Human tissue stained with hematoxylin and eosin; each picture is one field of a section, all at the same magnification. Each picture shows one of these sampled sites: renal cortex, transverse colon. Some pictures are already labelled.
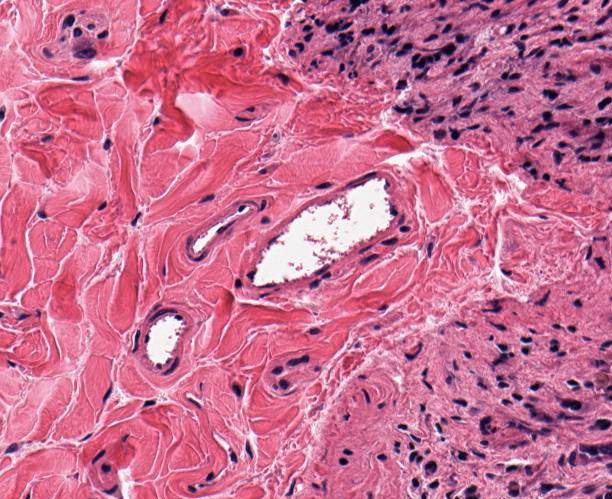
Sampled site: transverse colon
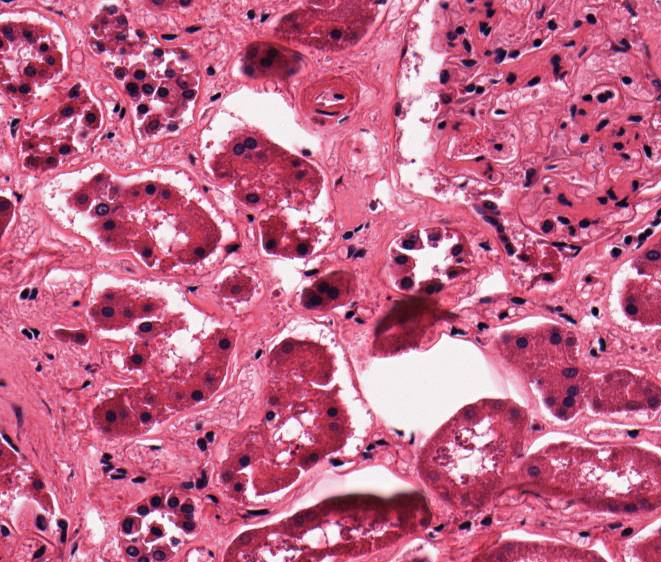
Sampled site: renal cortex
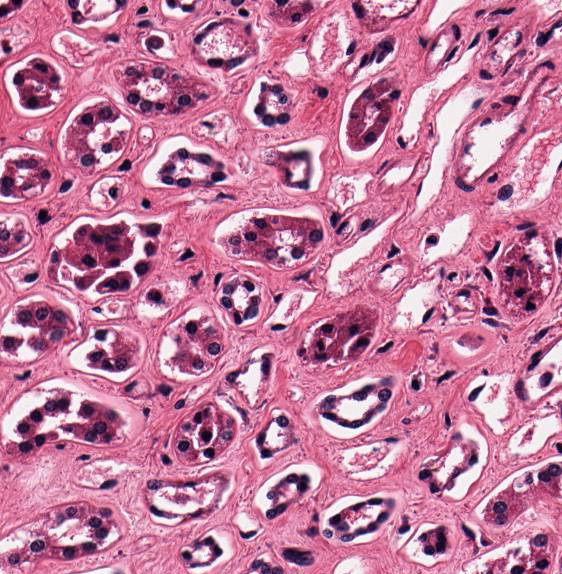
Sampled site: renal cortex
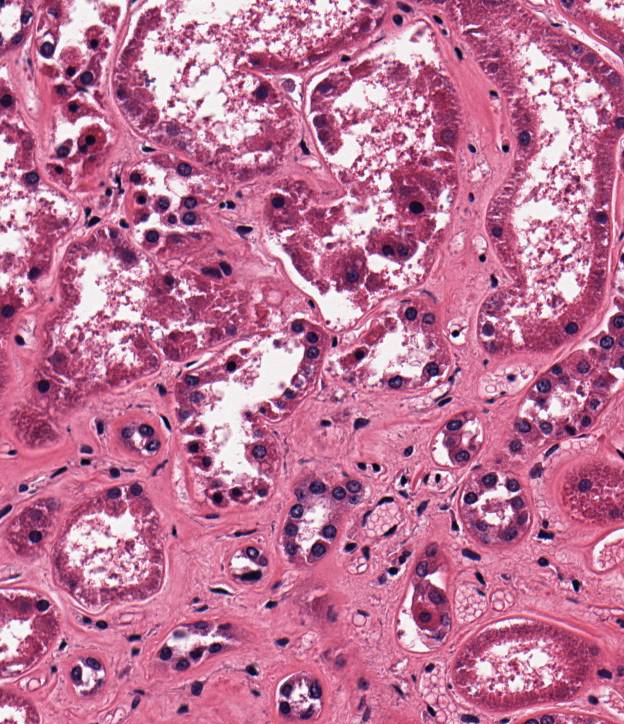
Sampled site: renal cortex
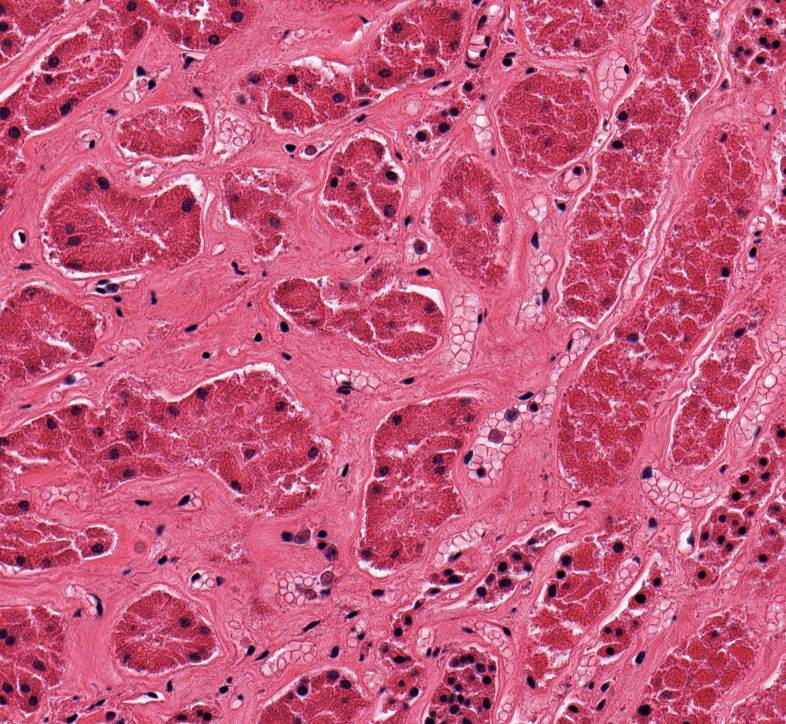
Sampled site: renal cortex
